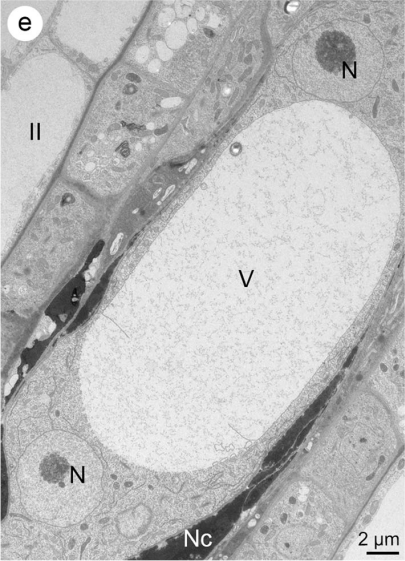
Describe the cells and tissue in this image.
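This electron micrograph shows a two-nucleate embryo sac within the ovule, an elongated cell dominated by a large central vacuole. One nucleus with a dense nucleolus lies at each end of the cell, embedded in a rim of granular cytoplasm with organelles. The embryo sac is flanked by neighbouring nucellar cells that are crushed into thin, very electron-dense strips, and beyond them lie larger, more lightly stained cells of the inner integument.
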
